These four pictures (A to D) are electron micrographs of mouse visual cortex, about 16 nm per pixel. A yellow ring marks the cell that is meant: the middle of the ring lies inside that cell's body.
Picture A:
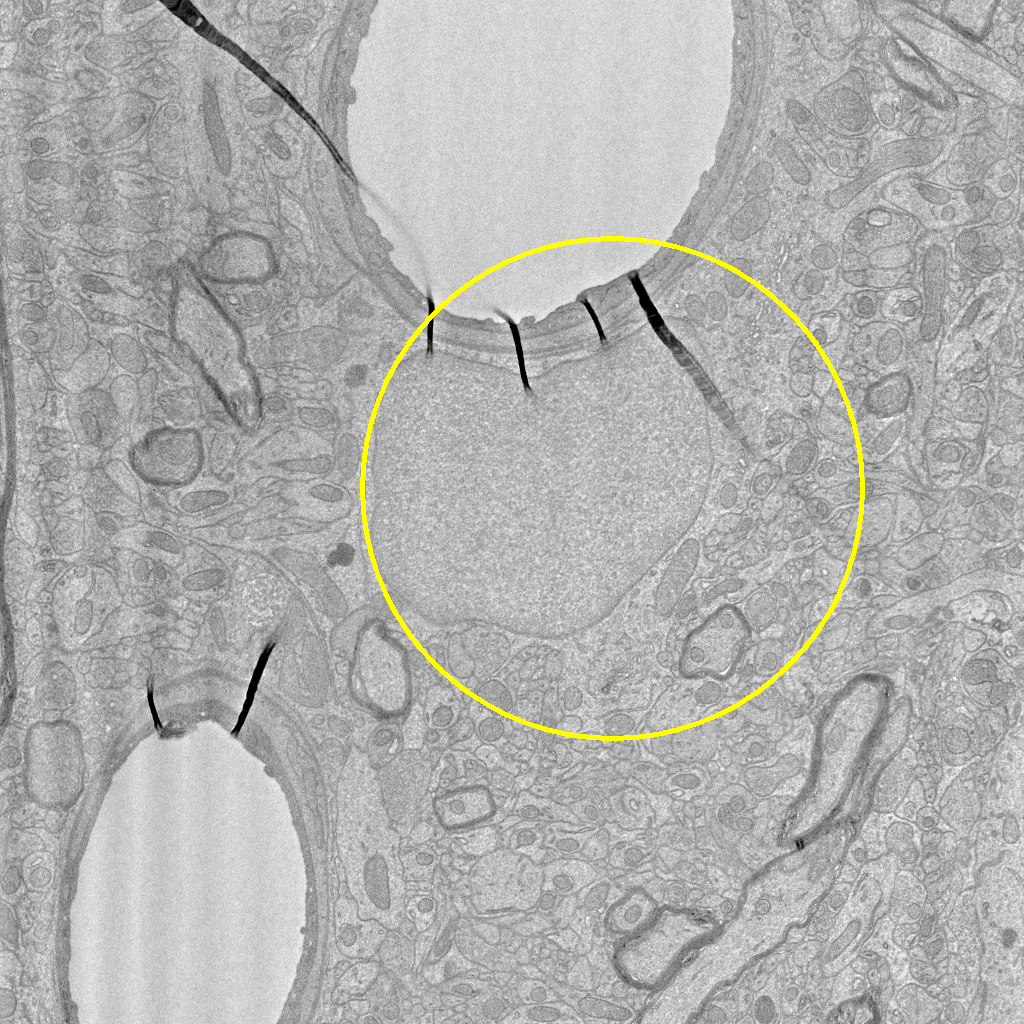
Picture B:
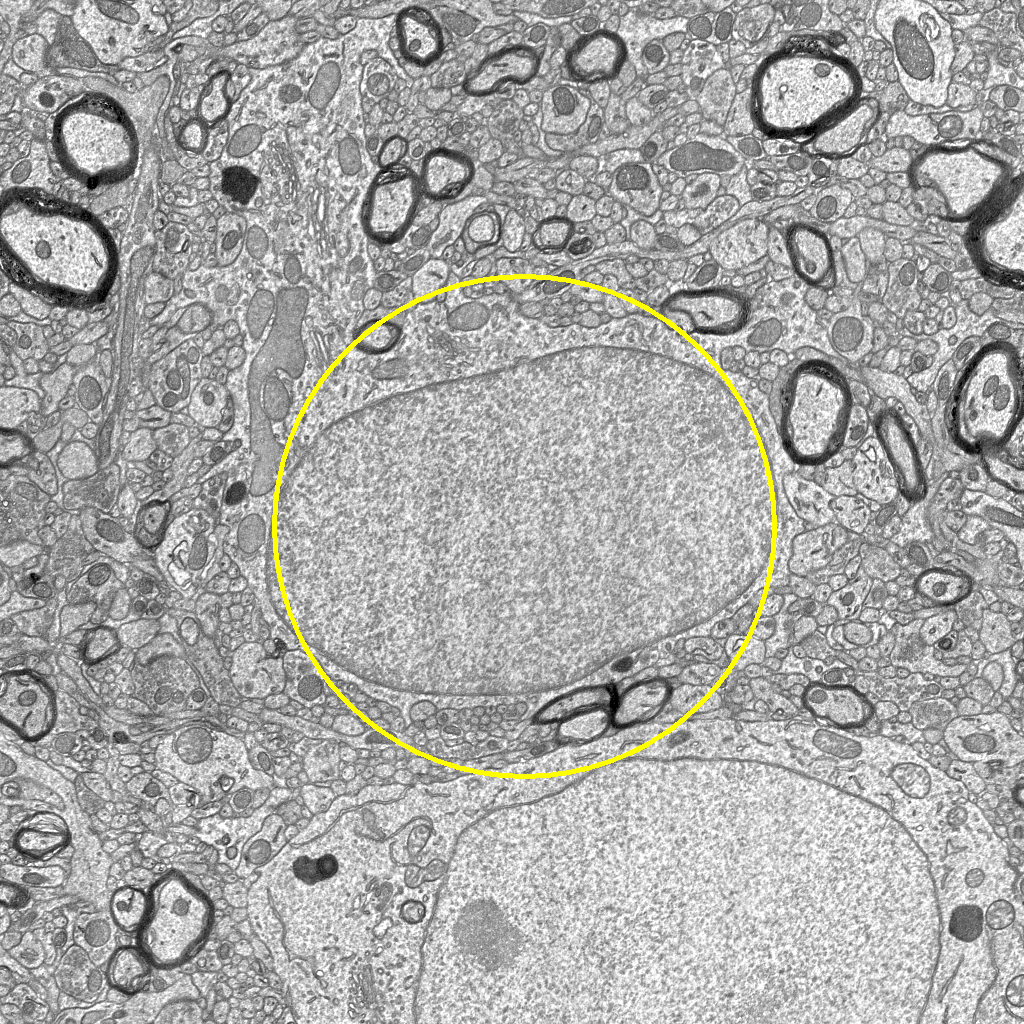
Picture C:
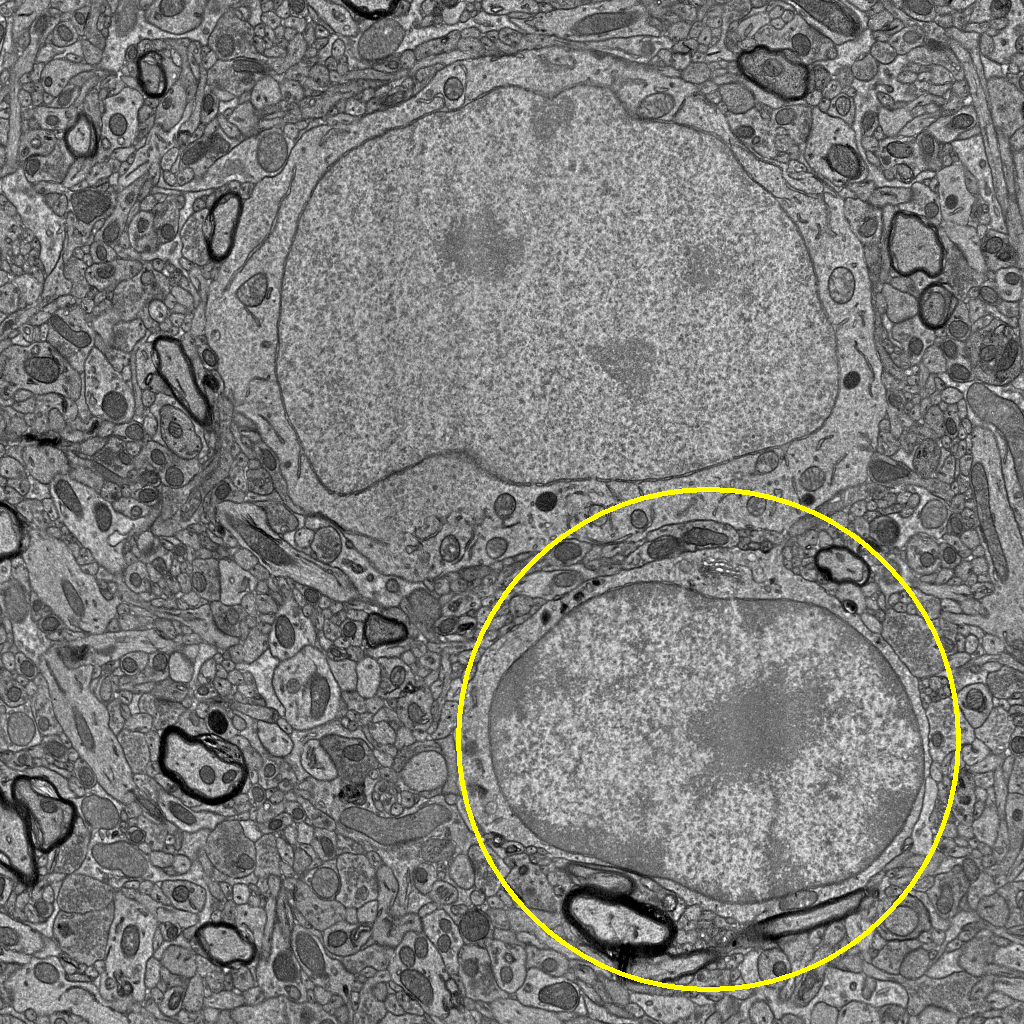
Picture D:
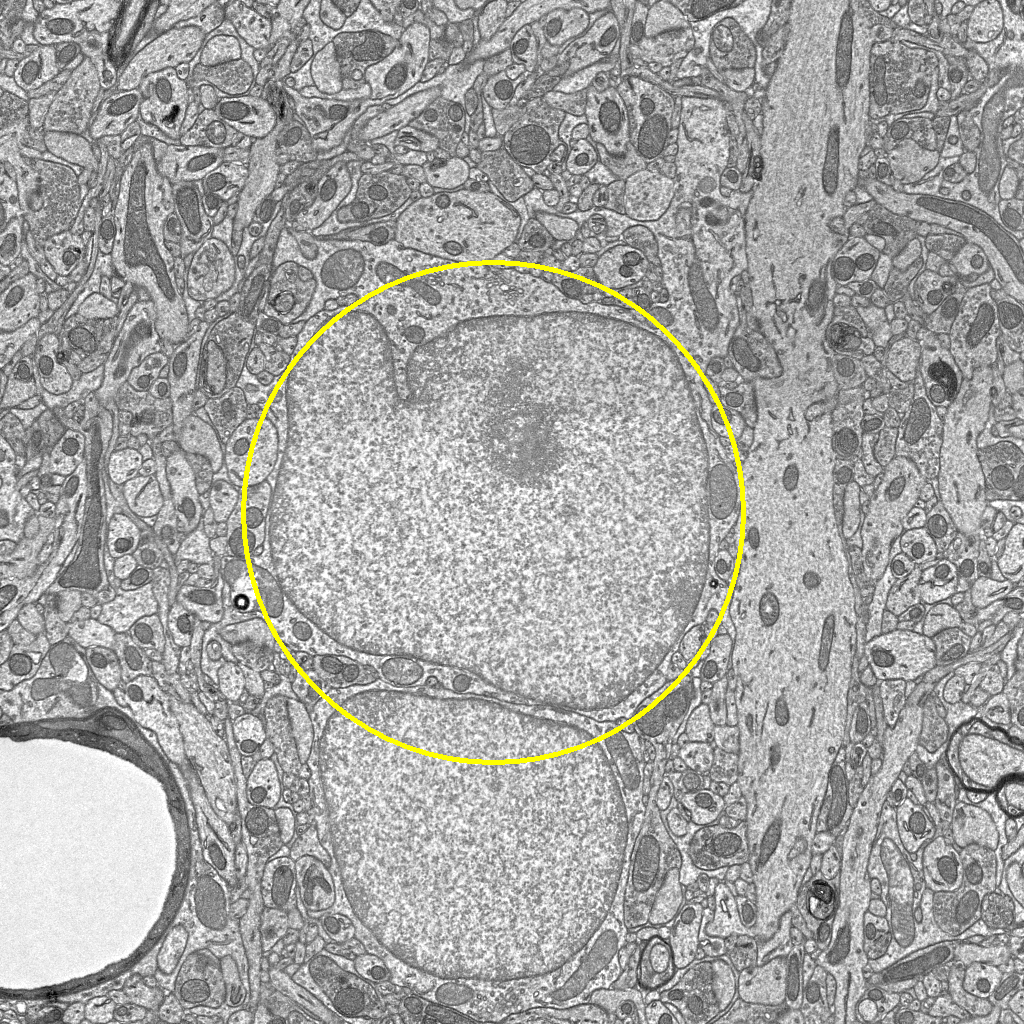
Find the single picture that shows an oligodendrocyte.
Picture C is the one that shows the oligodendrocyte.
